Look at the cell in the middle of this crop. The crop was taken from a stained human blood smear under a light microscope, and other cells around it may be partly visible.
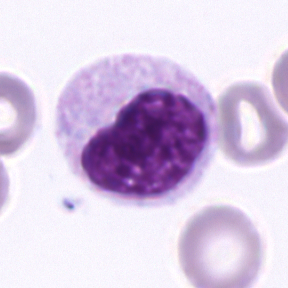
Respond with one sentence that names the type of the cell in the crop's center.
In the centre of this crop there is a metamyelocyte.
